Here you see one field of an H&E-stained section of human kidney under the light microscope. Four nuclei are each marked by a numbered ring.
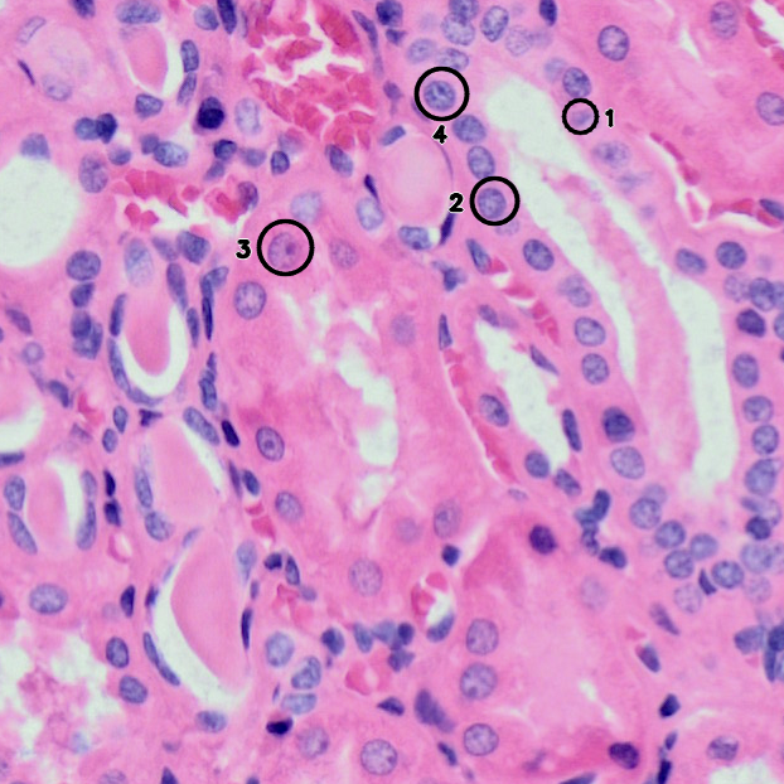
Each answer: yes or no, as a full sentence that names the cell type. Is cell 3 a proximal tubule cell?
Yes, cell number 3 in this section is a proximal tubule cell.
